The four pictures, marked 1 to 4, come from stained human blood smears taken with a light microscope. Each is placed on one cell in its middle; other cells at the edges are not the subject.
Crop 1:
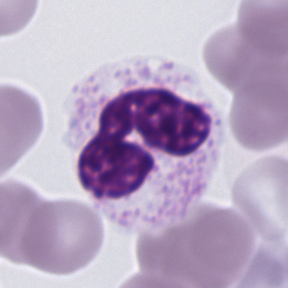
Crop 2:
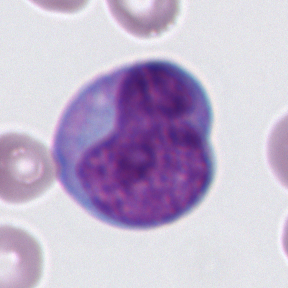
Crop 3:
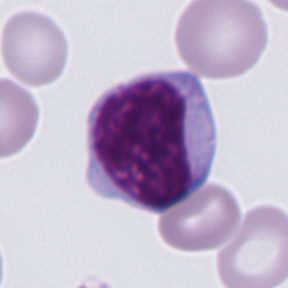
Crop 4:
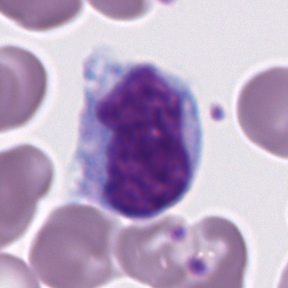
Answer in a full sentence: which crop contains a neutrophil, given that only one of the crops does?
Crop 1 is the right one; it is the crop showing a neutrophil.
